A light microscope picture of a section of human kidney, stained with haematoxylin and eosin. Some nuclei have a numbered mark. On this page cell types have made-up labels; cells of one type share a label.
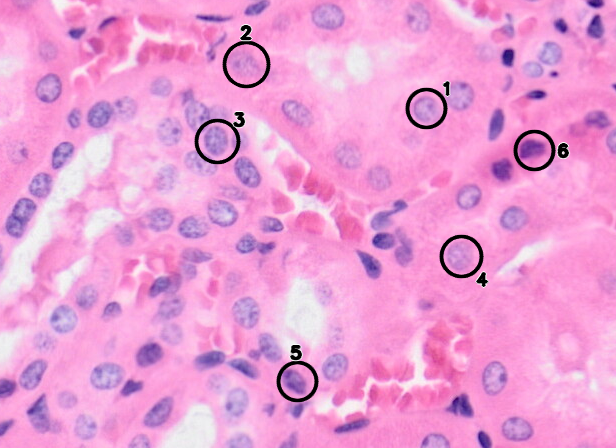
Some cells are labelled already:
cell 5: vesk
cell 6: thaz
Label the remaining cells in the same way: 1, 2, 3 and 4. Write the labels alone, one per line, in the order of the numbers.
thaz
thaz
vesk
thaz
